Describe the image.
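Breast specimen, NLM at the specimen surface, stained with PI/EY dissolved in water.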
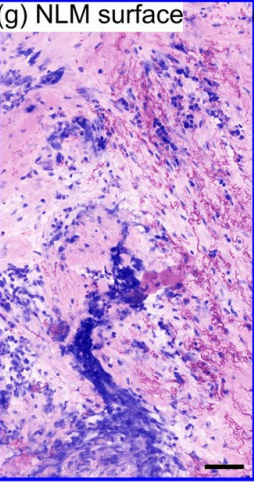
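Many purple nuclei are scattered through the pale pink fibrous tissue. Dense, dark purple aggregates of cells form clumps and a winding band, and loose red strands lie over parts of the field.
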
